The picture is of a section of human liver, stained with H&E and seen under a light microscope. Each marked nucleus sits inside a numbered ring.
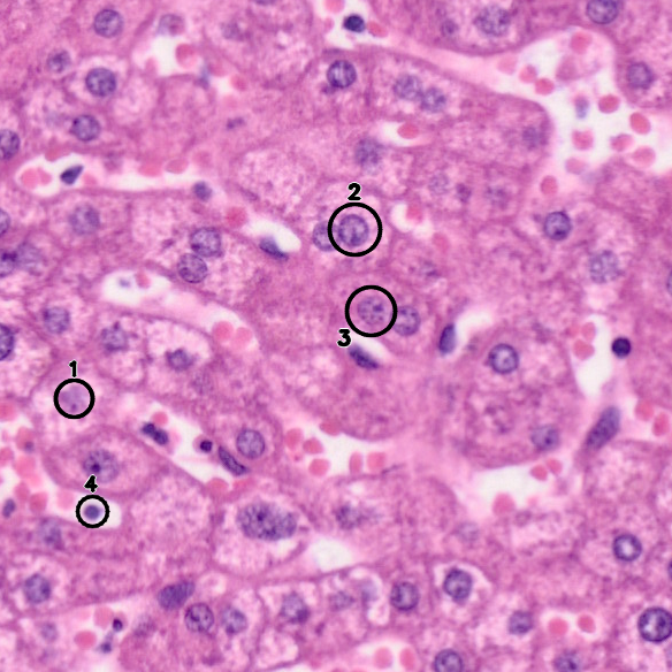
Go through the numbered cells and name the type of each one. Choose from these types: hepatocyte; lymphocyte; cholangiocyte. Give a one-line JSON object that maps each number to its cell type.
{"1": "hepatocyte", "2": "hepatocyte", "3": "hepatocyte", "4": "lymphocyte"}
